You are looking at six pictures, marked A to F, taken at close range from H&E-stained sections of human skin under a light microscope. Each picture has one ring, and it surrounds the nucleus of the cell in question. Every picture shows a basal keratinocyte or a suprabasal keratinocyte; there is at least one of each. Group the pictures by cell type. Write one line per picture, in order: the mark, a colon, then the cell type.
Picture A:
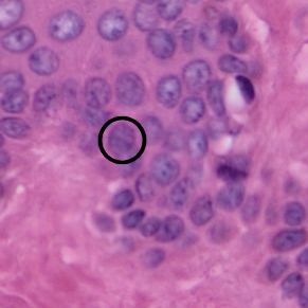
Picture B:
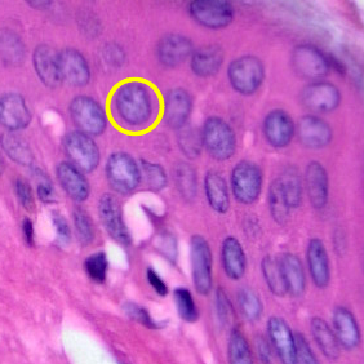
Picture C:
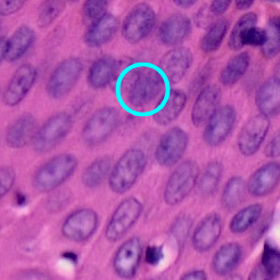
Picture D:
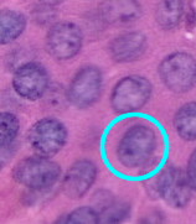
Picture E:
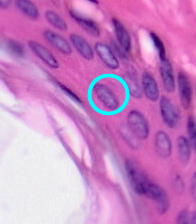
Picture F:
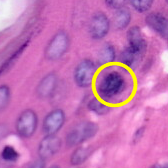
A: basal keratinocyte
B: suprabasal keratinocyte
C: suprabasal keratinocyte
D: suprabasal keratinocyte
E: suprabasal keratinocyte
F: basal keratinocyte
